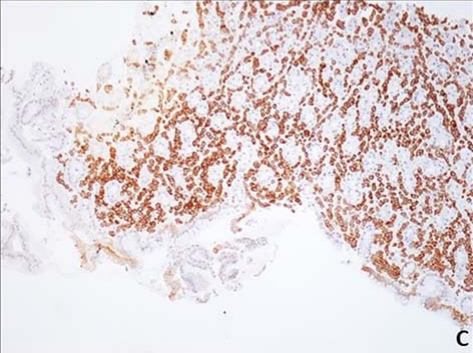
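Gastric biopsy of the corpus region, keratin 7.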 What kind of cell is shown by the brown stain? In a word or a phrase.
Neoplastic cells.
